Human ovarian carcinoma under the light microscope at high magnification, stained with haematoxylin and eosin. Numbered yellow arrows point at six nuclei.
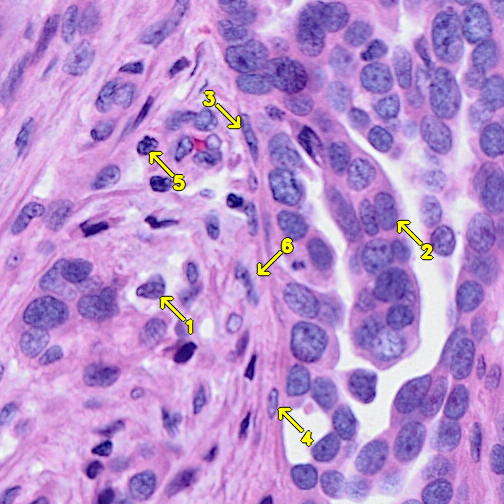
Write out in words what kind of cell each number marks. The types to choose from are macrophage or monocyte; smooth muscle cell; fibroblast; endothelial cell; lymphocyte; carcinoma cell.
Cell 1 is a macrophage or monocyte. Cell 2 is a carcinoma cell. Cells 3, 4 and 6 are fibroblasts. Cell 5 is a lymphocyte.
